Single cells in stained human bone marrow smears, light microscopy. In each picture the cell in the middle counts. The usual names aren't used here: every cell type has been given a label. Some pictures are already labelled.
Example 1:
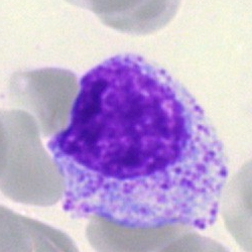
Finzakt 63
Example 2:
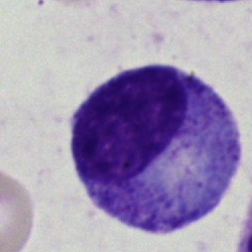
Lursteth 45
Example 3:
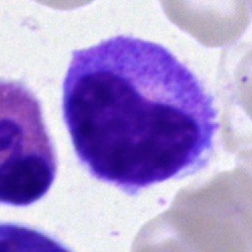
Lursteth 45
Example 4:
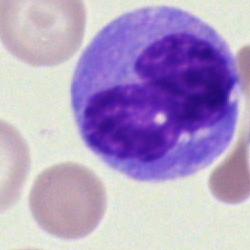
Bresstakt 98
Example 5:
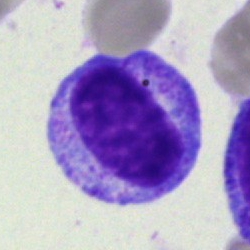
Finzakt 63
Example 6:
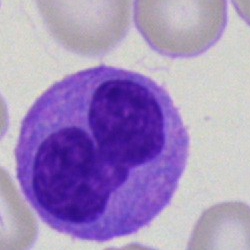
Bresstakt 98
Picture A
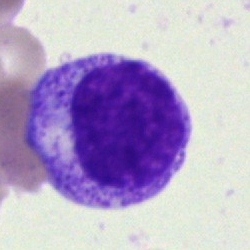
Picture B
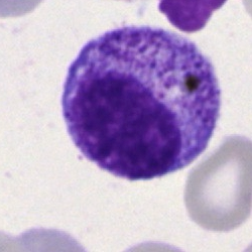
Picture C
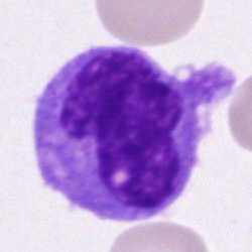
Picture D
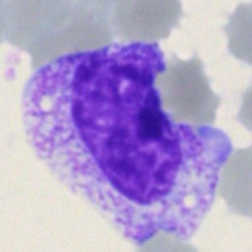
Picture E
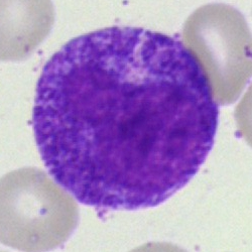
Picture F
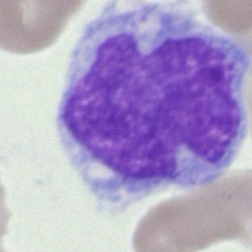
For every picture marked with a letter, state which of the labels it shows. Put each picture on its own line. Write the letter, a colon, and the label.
A: Finzakt 63
B: Finzakt 63
C: Bresstakt 98
D: Finzakt 63
E: Lursteth 45
F: Bresstakt 98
